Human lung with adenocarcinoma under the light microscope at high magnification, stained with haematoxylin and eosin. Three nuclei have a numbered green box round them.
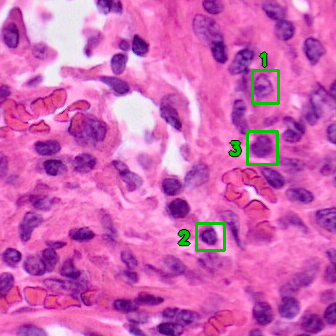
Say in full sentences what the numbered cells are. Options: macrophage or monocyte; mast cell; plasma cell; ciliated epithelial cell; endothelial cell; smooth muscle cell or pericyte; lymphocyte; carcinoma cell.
Cells 1 and 3 are plasma cells. Cell 2 is a lymphocyte.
